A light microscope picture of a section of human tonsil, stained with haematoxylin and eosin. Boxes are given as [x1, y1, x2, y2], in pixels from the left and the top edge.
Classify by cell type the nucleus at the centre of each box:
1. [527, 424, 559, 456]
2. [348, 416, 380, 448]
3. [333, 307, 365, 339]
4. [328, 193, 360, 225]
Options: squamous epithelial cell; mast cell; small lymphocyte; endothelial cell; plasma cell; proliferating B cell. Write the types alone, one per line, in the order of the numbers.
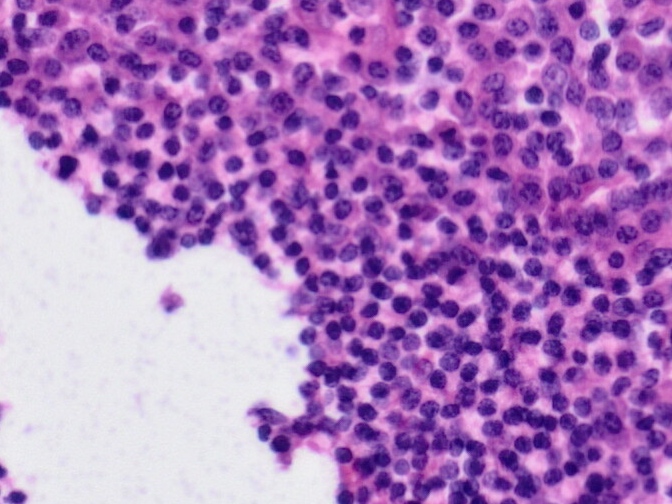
small lymphocyte
small lymphocyte
small lymphocyte
plasma cell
